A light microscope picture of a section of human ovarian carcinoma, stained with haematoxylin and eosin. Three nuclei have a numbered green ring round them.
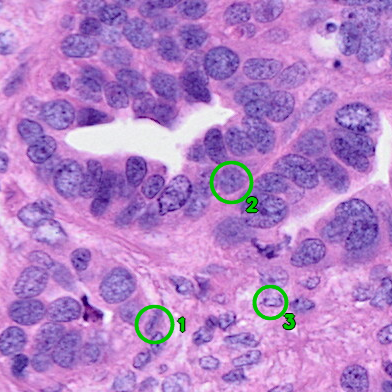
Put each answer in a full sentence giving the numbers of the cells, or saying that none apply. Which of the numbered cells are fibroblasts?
The cells carrying labels 1 and 3 are fibroblasts.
